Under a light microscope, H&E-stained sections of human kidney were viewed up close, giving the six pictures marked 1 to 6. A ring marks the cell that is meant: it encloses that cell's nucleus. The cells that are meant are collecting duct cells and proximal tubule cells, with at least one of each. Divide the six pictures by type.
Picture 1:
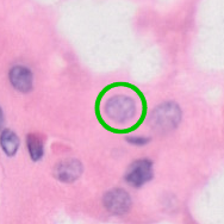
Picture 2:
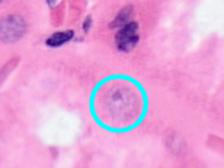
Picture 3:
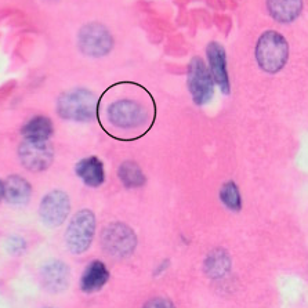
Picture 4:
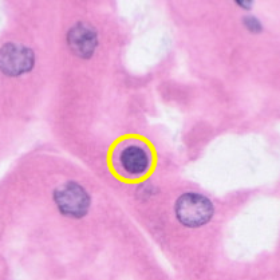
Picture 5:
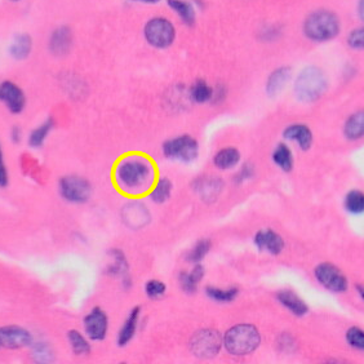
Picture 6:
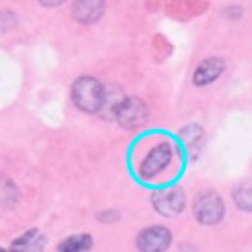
1: proximal tubule cell
2: proximal tubule cell
3: collecting duct cell
4: proximal tubule cell
5: collecting duct cell
6: collecting duct cell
